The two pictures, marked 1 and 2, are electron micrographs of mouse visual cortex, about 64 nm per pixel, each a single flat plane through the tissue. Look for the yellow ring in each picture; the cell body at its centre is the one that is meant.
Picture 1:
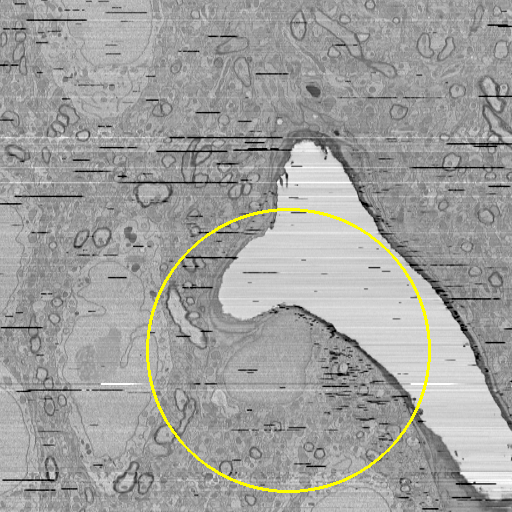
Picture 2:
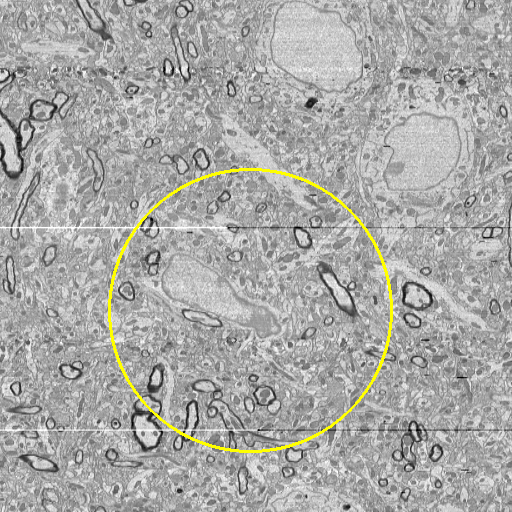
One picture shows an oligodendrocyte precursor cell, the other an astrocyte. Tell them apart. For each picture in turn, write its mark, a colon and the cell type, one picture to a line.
1: astrocyte
2: oligodendrocyte precursor cell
